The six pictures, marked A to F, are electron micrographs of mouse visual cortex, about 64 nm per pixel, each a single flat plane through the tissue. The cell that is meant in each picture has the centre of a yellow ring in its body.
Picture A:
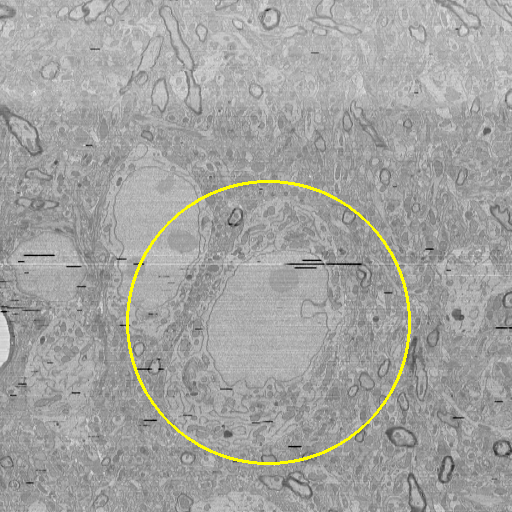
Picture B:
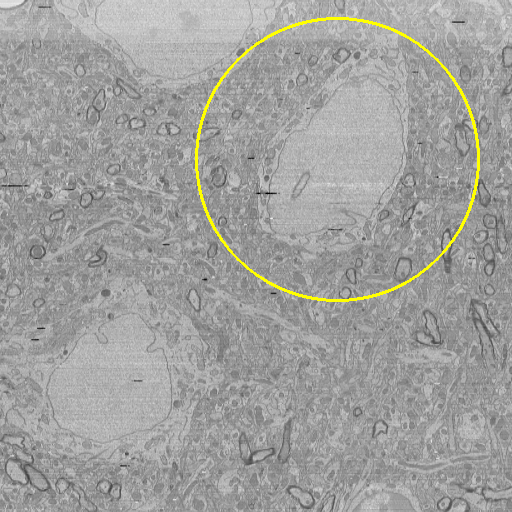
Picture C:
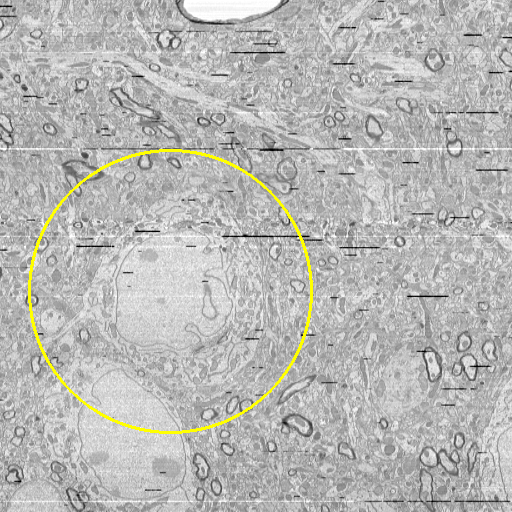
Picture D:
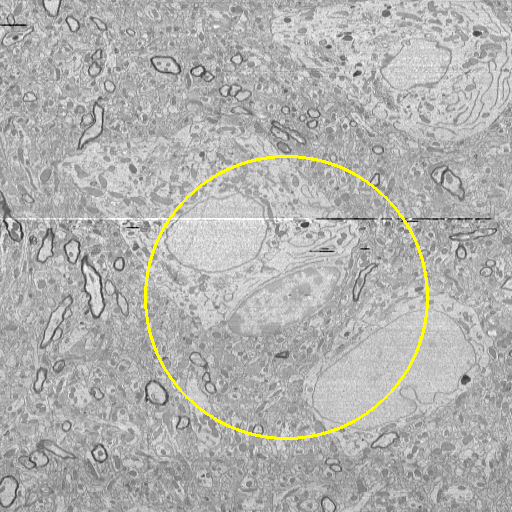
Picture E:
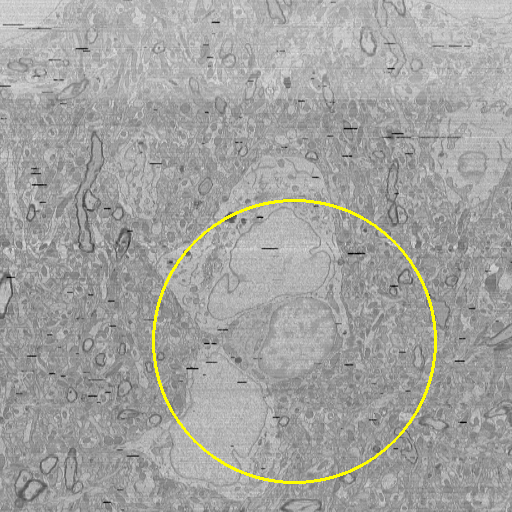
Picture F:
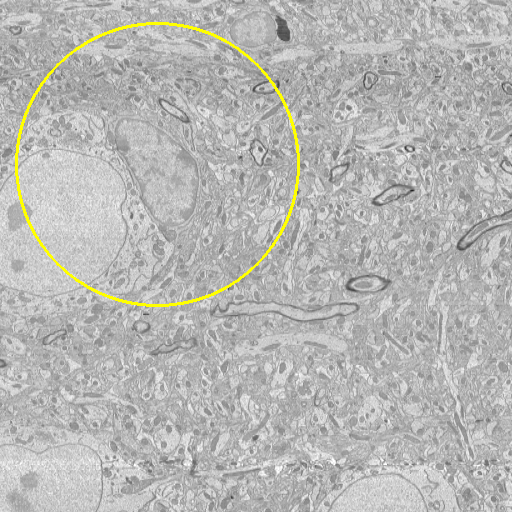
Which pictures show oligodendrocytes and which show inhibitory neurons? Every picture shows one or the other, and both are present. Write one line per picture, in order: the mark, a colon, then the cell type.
A: inhibitory neuron
B: inhibitory neuron
C: inhibitory neuron
D: oligodendrocyte
E: oligodendrocyte
F: oligodendrocyte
